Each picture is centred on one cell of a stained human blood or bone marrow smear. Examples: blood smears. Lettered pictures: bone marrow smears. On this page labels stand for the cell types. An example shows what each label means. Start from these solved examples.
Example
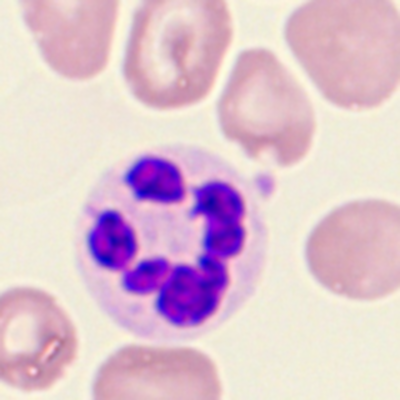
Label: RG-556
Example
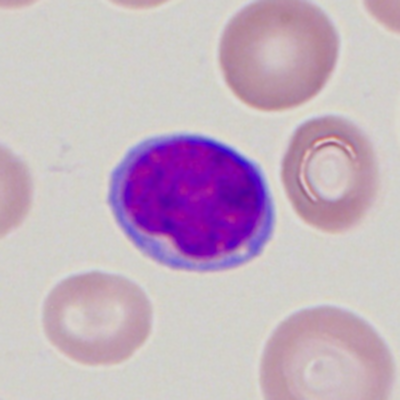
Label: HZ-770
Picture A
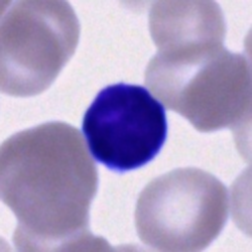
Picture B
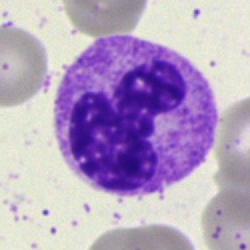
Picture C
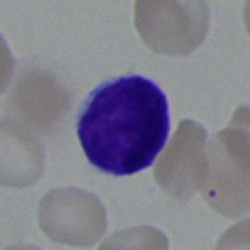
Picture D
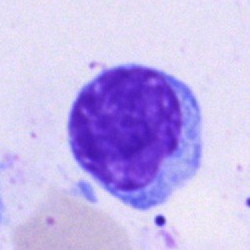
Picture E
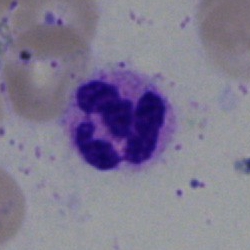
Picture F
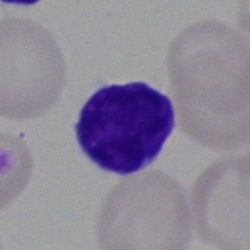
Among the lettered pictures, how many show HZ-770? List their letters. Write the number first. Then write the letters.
4: A, C, D, F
